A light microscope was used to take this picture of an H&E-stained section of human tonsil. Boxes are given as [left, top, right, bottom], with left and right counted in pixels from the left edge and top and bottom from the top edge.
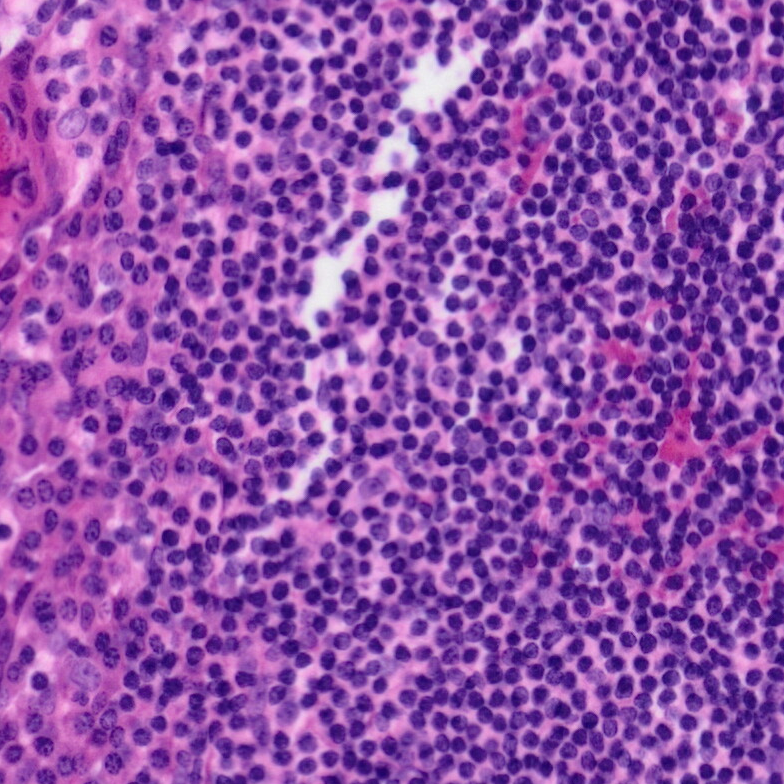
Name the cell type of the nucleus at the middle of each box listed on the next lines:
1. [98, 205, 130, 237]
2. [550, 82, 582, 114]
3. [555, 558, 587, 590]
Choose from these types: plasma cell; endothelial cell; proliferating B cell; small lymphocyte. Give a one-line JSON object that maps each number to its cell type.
{"1": "plasma cell", "2": "small lymphocyte", "3": "small lymphocyte"}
